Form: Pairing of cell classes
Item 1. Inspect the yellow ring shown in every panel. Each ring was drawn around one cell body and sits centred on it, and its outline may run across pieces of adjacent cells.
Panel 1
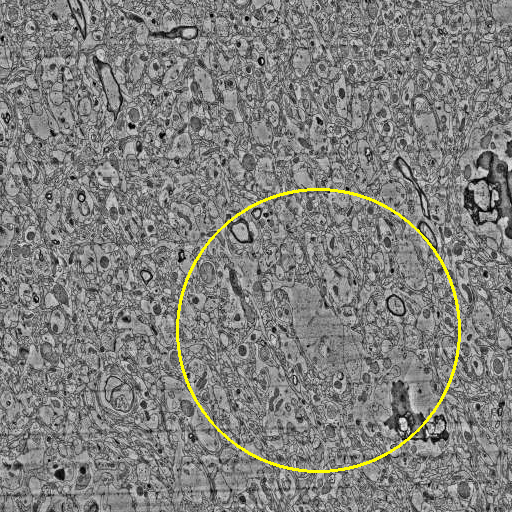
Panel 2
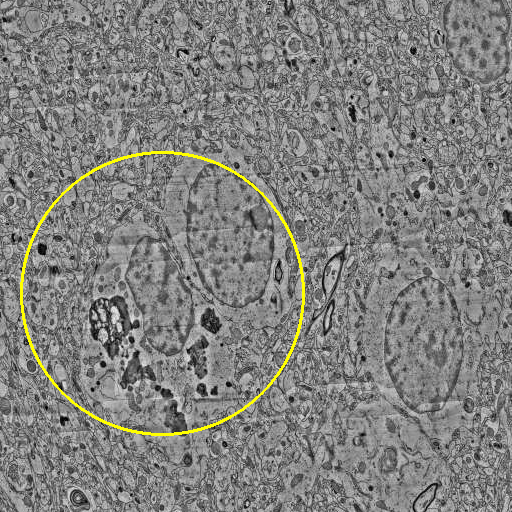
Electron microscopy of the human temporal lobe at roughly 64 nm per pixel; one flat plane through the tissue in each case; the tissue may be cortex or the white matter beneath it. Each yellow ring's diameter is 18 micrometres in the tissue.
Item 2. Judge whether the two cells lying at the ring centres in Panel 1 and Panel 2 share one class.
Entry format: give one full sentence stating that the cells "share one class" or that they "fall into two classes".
The cells at the ring centres in Panel 1 and Panel 2 fall into two classes.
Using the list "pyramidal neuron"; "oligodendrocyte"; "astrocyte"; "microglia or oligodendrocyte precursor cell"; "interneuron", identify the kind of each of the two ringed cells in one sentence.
The first is a microglial cell or oligodendrocyte precursor cell and the second is an astrocyte.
